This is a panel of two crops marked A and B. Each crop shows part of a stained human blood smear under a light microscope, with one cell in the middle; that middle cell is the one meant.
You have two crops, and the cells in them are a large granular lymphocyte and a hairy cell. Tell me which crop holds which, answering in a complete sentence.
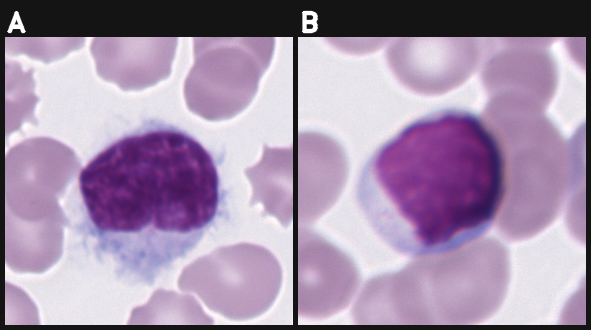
Crop A represents a hairy cell, while crop B represents a large granular lymphocyte.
